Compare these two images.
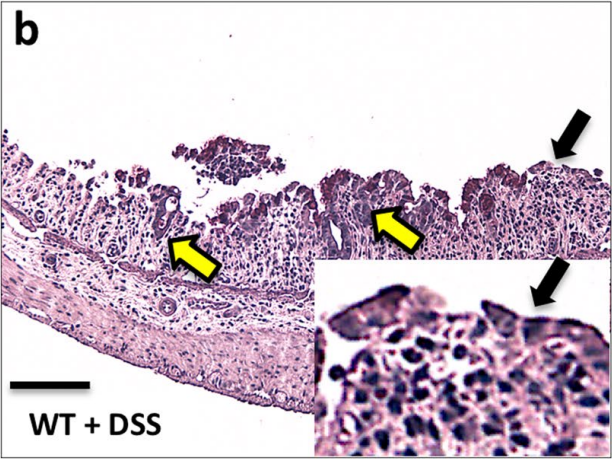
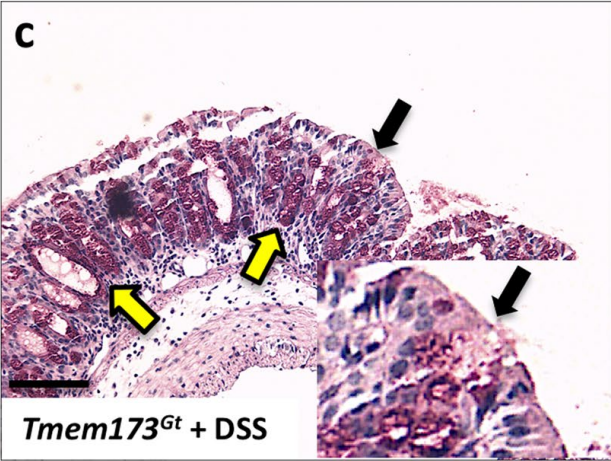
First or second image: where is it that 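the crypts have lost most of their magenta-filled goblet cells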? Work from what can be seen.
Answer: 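The first image. Second image: crypts are lined by many cells with rounded magenta cytoplasm. First image: only scattered magenta cells remain and crypt outlines are disrupted.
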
